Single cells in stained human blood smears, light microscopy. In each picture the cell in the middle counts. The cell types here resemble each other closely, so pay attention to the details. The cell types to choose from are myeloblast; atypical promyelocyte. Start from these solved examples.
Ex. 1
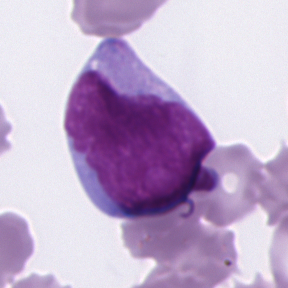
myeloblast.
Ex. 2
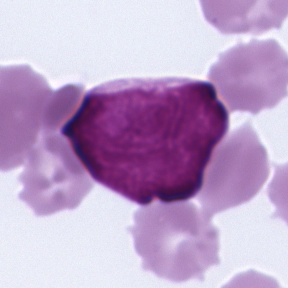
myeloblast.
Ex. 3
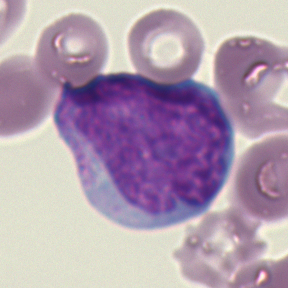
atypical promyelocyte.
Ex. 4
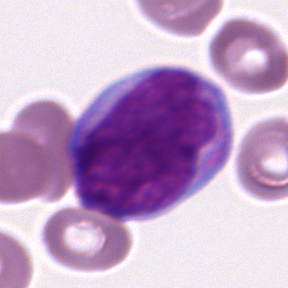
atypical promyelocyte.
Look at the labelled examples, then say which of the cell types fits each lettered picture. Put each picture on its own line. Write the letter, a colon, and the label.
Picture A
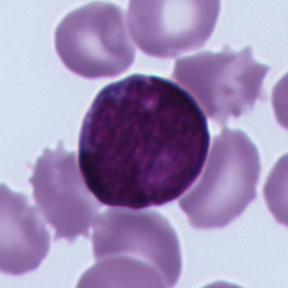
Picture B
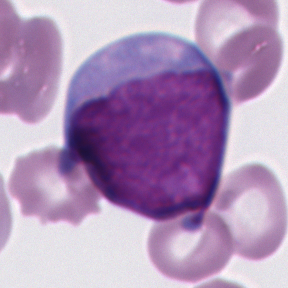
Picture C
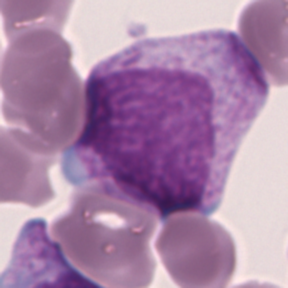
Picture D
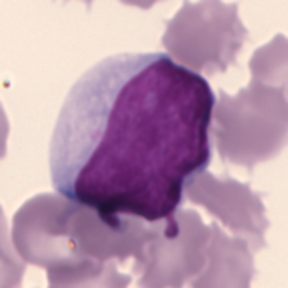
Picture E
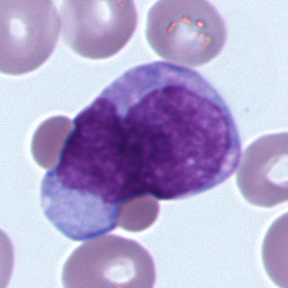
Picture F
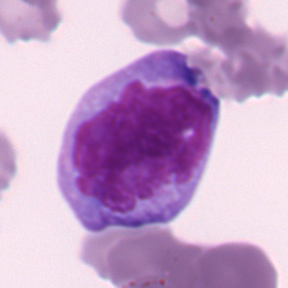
A: myeloblast.
B: myeloblast.
C: atypical promyelocyte.
D: myeloblast.
E: atypical promyelocyte.
F: myeloblast.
